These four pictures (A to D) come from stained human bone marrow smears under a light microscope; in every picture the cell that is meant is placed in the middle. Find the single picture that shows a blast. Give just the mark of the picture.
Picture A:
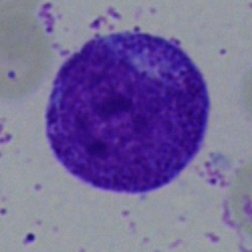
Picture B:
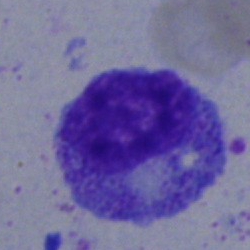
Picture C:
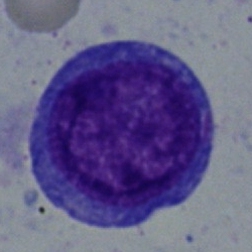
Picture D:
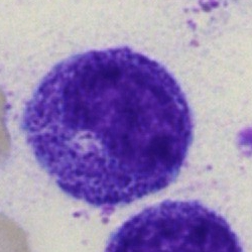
C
